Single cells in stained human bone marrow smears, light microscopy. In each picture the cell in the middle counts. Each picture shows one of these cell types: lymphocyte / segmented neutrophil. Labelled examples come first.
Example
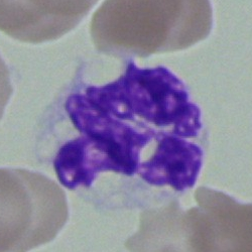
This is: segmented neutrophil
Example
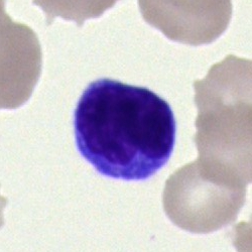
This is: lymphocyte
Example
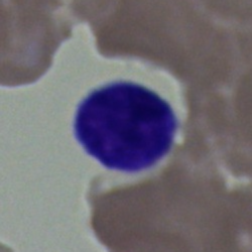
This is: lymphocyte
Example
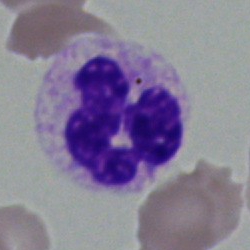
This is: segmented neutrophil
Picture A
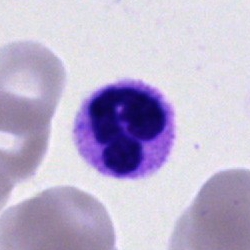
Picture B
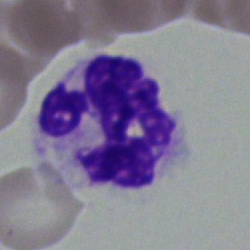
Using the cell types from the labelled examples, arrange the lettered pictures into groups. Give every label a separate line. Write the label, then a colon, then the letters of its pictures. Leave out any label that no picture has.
segmented neutrophil: A, B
